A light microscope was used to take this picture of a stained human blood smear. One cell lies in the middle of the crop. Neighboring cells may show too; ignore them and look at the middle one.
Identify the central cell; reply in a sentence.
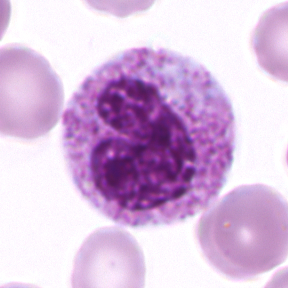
The central cell, amid any neighbouring cells, is a band neutrophil.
